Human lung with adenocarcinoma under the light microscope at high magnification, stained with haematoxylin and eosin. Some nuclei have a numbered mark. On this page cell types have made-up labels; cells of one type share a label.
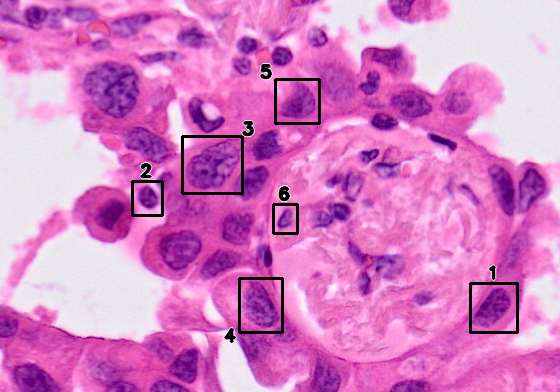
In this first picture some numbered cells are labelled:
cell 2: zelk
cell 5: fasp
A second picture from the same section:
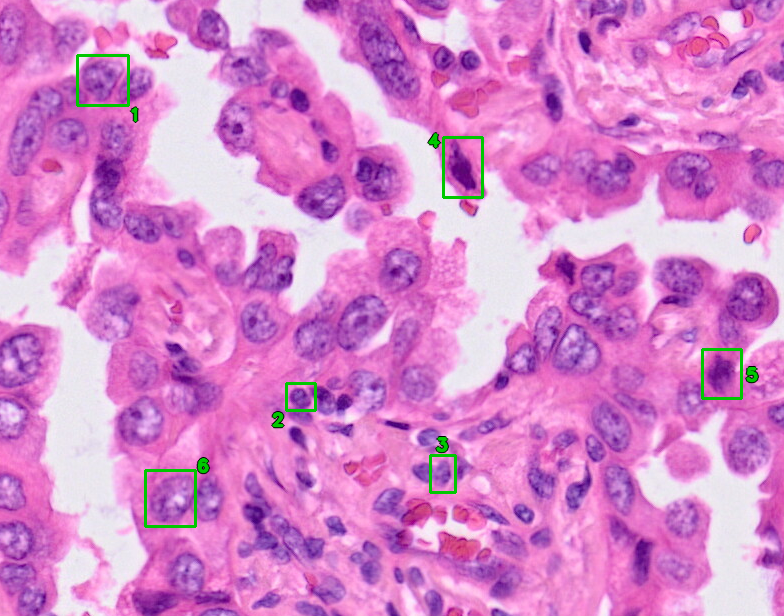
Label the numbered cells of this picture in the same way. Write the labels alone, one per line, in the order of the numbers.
fasp
zelk
zelk
fasp
fasp
fasp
